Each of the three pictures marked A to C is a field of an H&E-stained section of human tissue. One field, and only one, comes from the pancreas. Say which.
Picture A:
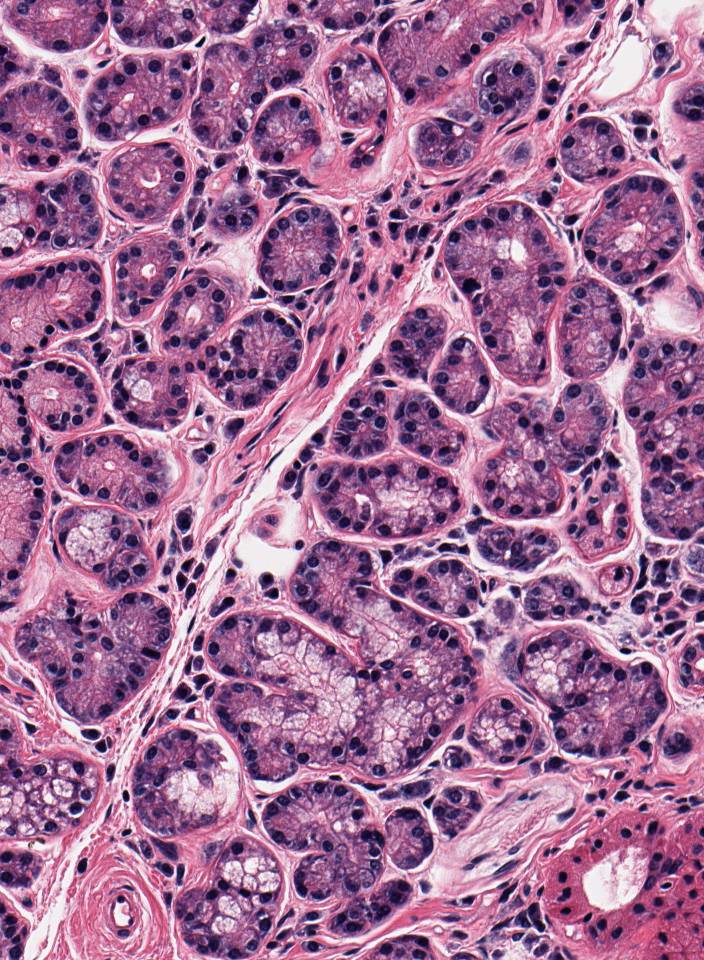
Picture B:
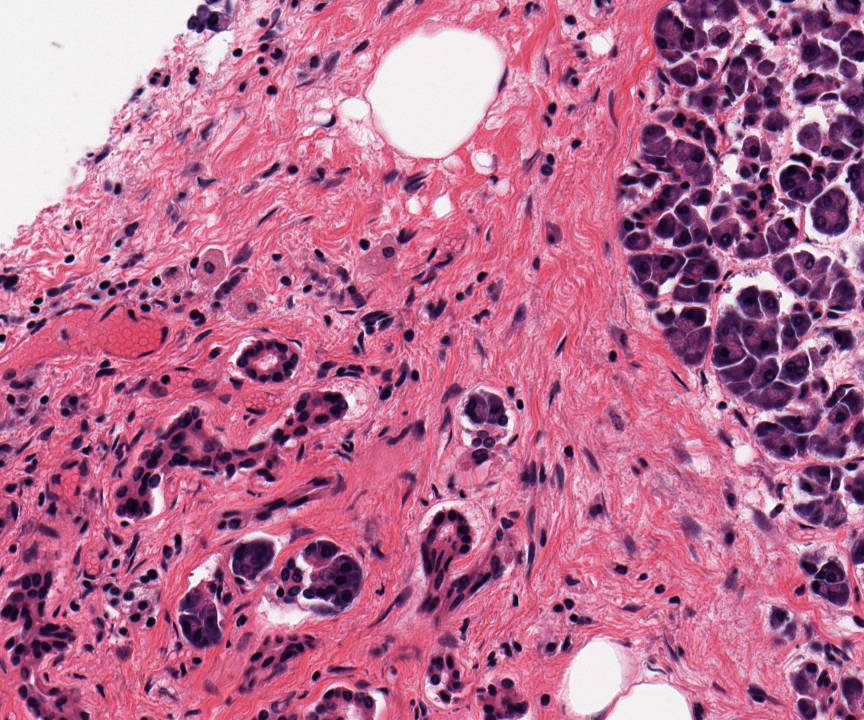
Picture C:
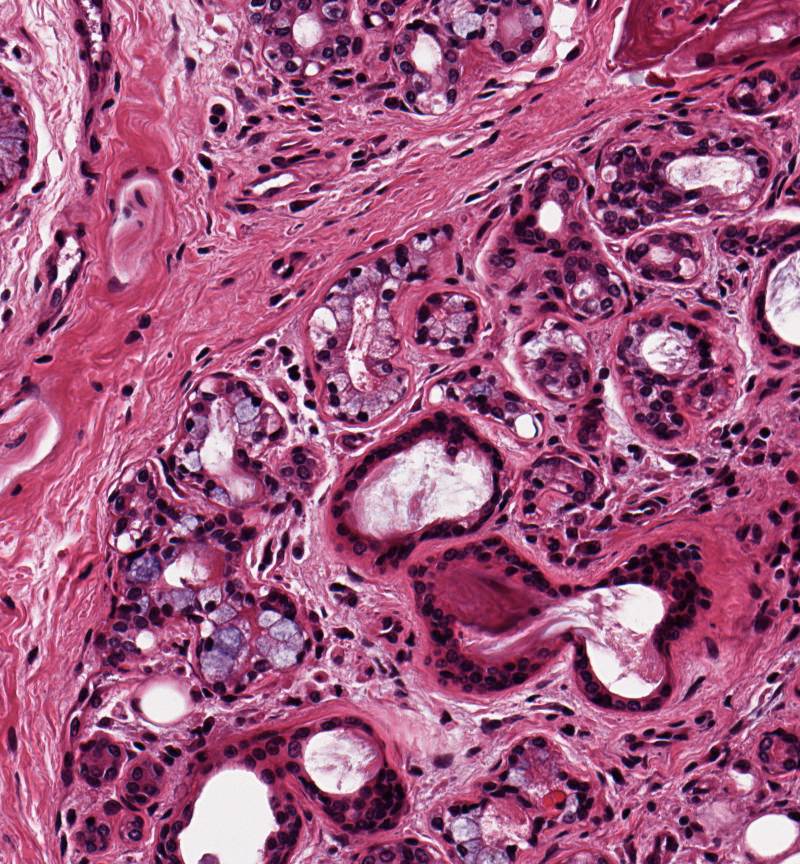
B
